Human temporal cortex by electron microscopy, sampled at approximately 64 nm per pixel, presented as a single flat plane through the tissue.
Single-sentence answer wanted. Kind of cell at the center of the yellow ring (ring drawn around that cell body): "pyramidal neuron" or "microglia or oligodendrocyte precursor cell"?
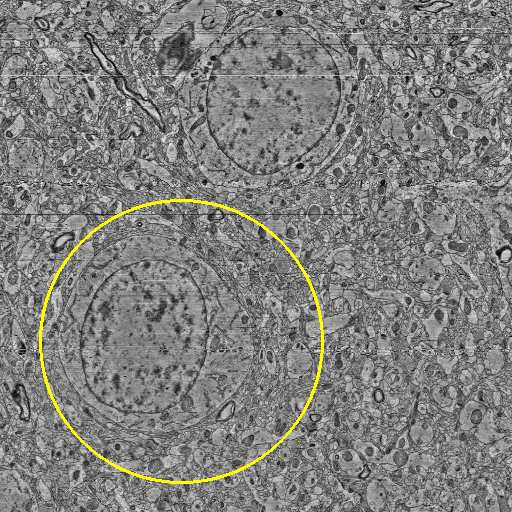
The cell centered in the ring is a pyramidal neuron.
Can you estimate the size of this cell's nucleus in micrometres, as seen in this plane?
Approximately 10 micrometres long and 8 micrometres wide, in this plane.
